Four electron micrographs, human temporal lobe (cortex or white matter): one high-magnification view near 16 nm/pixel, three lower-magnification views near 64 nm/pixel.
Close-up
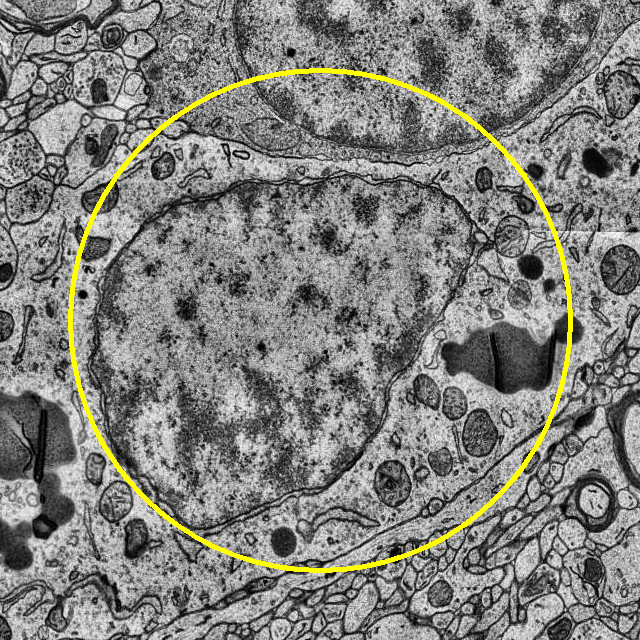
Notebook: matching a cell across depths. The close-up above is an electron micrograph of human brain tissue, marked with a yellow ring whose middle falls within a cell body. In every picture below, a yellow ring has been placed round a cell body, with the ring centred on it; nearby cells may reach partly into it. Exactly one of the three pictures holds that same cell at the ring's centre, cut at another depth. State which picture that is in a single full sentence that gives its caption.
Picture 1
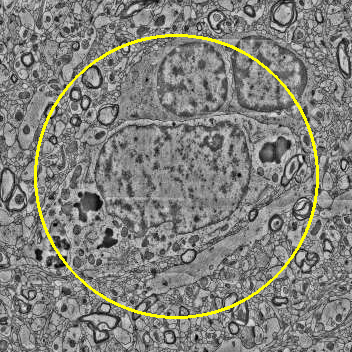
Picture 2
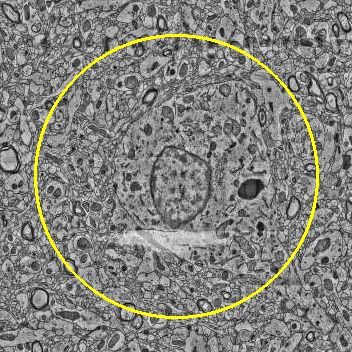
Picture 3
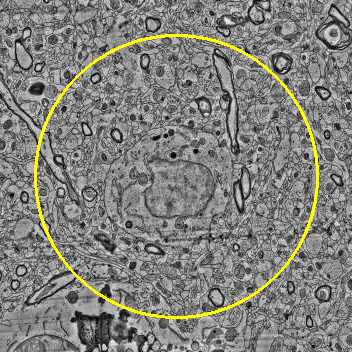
The cell displayed in the close-up is circled in Picture 1.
